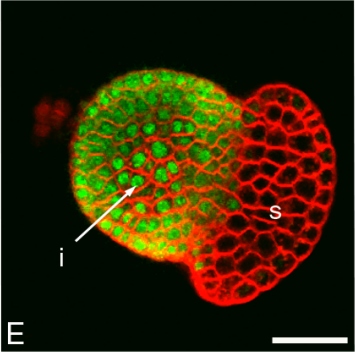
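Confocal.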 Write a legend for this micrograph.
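The bud shows a dome of small, tightly packed cells on the left, flanked on the right by a curved sepal whose larger cells are outlined in red and carry little green. In the outer part of the dome both the cytoplasm and nuclei glow green, while toward the centre the green is confined to distinct nuclei. This is a floral meristem with its innermost part beside a developing sepal.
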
